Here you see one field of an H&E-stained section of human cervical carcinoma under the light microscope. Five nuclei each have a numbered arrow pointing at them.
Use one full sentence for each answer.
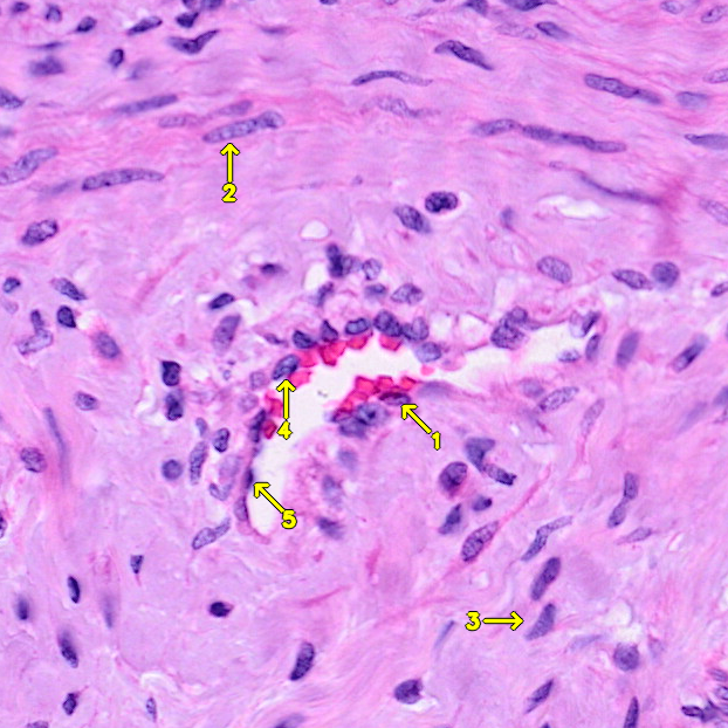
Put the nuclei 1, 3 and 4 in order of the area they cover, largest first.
Going from the biggest nucleus down to the smallest gives 3, 4, 1.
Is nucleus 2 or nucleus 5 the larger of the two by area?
The larger nucleus is 2, at roughly 3 times the area of 5.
